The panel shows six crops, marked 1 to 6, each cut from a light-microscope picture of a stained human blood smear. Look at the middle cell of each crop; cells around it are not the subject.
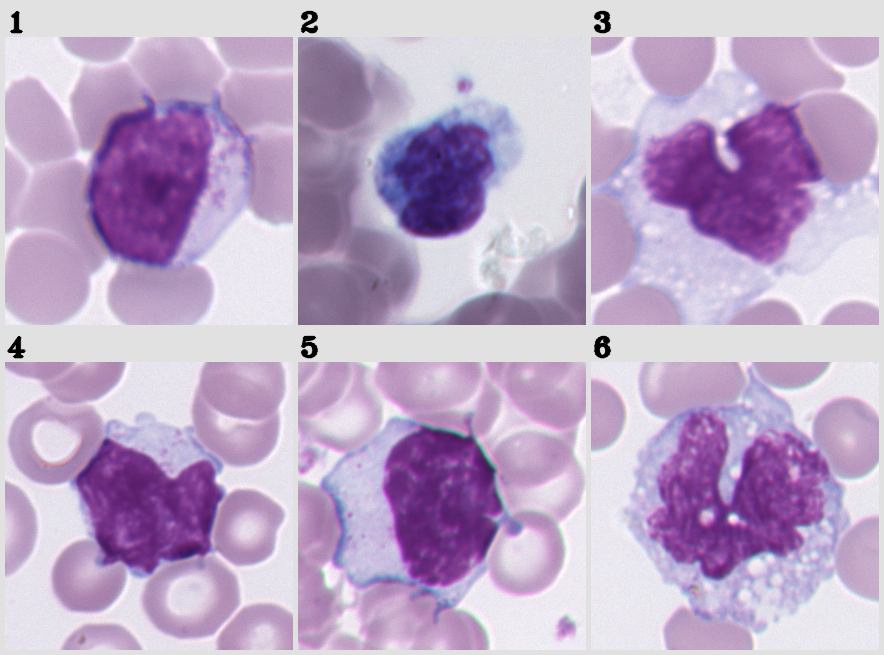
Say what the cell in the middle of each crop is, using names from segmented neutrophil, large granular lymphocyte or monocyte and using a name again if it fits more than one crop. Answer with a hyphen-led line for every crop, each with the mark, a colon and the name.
- 1: large granular lymphocyte
- 2: monocyte
- 3: monocyte
- 4: large granular lymphocyte
- 5: large granular lymphocyte
- 6: monocyte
